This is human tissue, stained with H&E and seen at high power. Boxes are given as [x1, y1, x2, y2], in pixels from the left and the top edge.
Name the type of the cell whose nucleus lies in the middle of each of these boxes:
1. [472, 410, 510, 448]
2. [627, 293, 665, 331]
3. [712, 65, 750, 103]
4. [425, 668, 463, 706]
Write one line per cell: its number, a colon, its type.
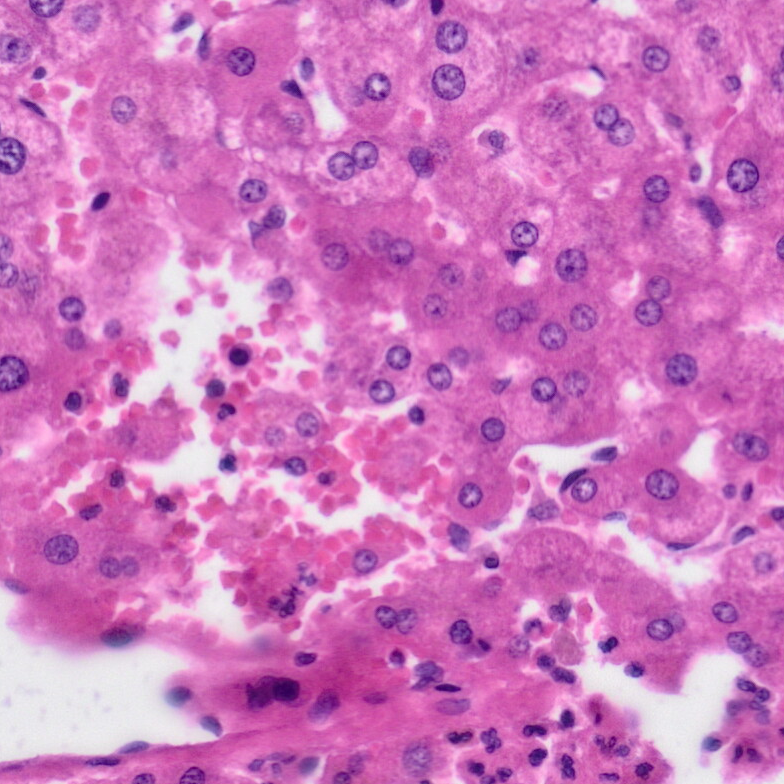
1: hepatocyte
2: hepatocyte
3: Kupffer cell
4: fibroblast or stellate cell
